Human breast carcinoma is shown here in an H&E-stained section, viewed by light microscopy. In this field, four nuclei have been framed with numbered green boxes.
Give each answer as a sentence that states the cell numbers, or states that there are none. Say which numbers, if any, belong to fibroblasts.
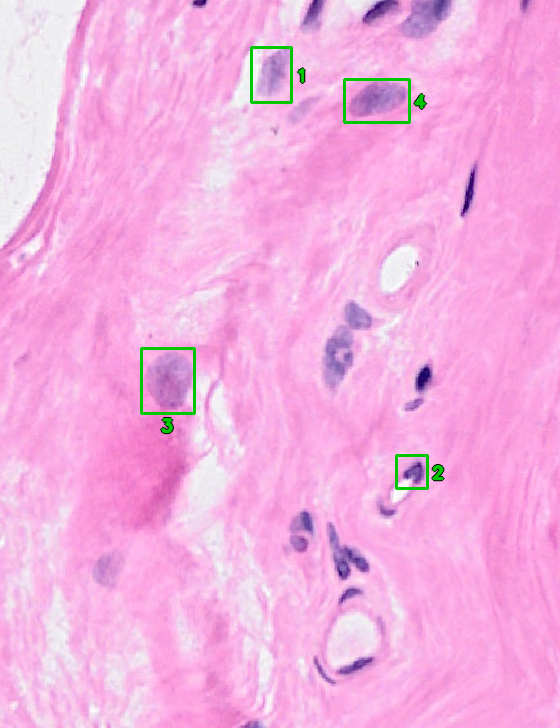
Within the section, cells numbered 1, 3 and 4 are fibroblasts.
